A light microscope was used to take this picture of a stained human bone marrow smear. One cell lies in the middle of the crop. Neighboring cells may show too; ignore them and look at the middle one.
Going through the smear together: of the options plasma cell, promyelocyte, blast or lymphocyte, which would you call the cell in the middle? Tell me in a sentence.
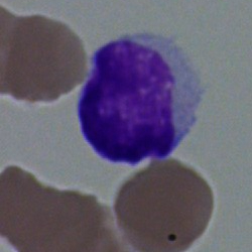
Positioned in the middle of the crop is a lymphocyte.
